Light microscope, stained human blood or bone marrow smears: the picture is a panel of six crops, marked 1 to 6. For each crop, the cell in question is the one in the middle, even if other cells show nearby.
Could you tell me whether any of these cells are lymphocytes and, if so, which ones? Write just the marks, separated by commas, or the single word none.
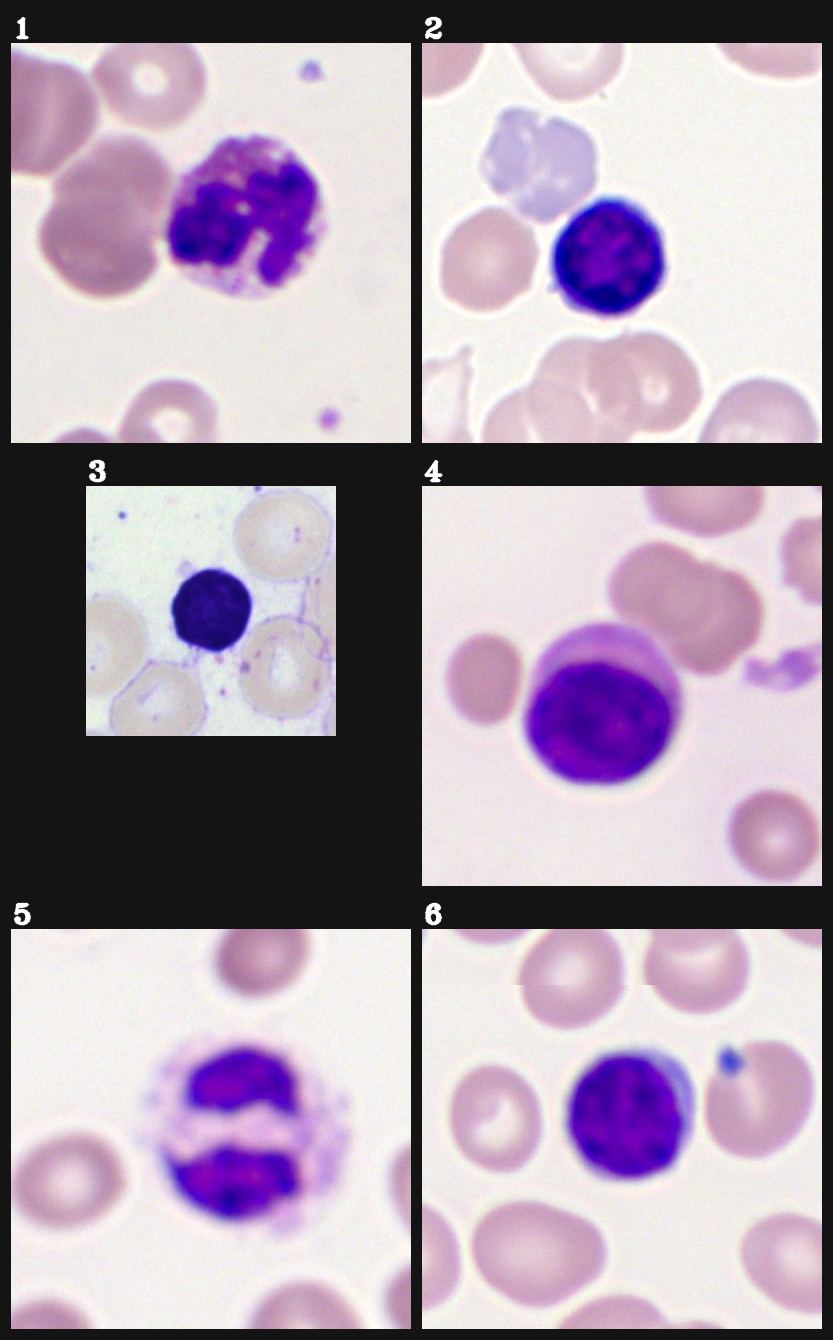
2, 3, 4, 6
